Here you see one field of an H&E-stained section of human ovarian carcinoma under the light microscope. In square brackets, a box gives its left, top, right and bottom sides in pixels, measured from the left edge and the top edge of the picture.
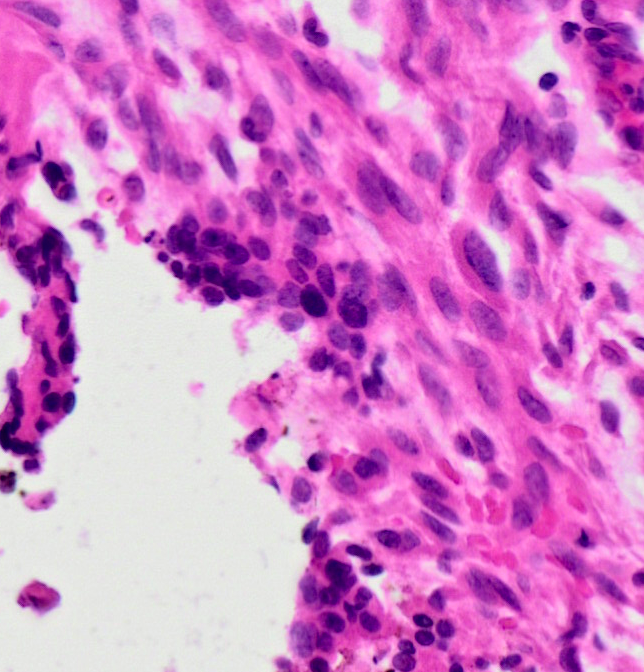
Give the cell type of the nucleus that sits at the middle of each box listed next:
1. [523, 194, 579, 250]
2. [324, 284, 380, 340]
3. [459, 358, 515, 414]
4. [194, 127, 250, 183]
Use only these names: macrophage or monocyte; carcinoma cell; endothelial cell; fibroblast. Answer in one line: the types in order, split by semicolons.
fibroblast; carcinoma cell; fibroblast; fibroblast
